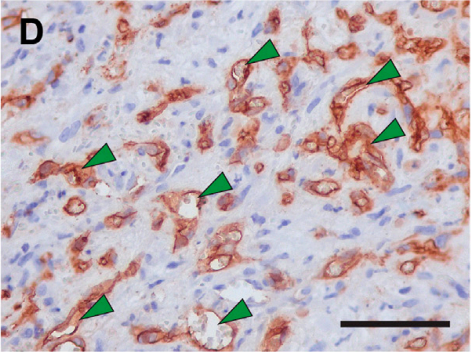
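This section shows a network of vessel-forming cells in a pale tissue, stained brown against a blue counterstain. Brown-stained cells form thin rings and elongated, branching cords throughout the field. Many of the rings enclose open lumens, some containing pale cells. Between these brown structures lie scattered cells with blue nuclei in a light matrix. The brown lining cells are flattened, wrapping closely around the openings.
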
